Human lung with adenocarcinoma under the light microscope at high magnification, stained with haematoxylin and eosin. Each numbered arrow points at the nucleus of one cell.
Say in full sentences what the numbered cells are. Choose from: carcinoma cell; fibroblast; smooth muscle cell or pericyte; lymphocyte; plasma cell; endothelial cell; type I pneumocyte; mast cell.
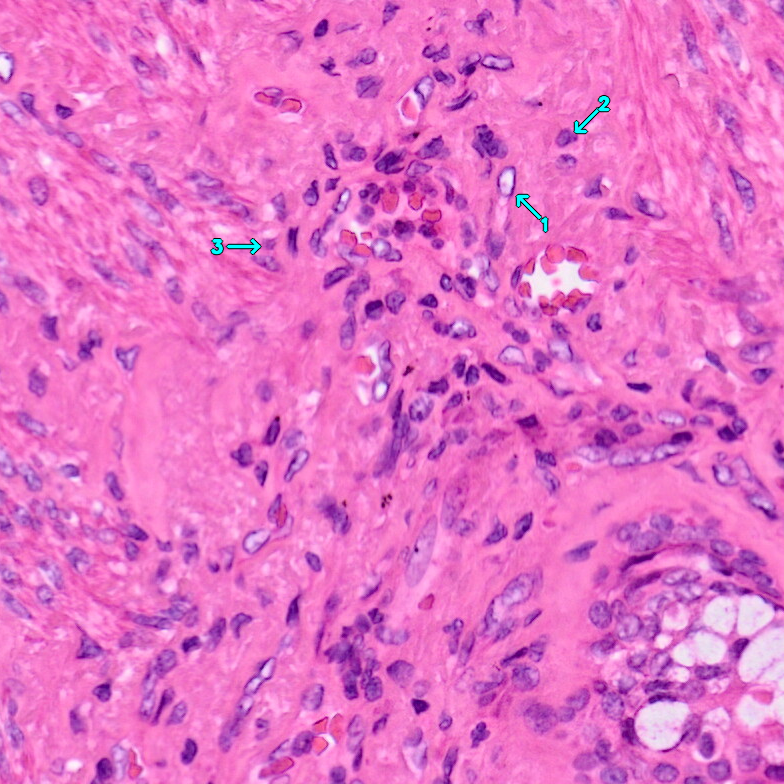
Cell 1 is an endothelial cell. Cell 2 is a mast cell. Cell 3 is a smooth muscle cell or pericyte.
